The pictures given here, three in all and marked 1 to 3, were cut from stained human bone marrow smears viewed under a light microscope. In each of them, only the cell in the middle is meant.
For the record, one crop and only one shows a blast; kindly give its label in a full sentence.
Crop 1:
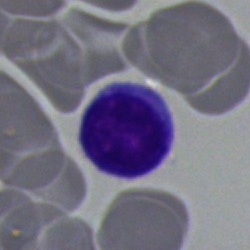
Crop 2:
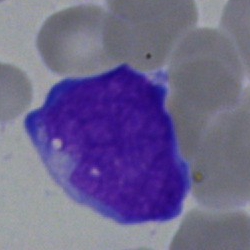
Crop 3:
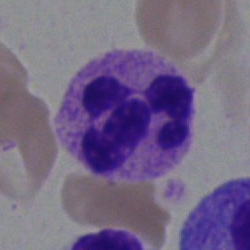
Crop 2 is the crop featuring a blast at its center.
